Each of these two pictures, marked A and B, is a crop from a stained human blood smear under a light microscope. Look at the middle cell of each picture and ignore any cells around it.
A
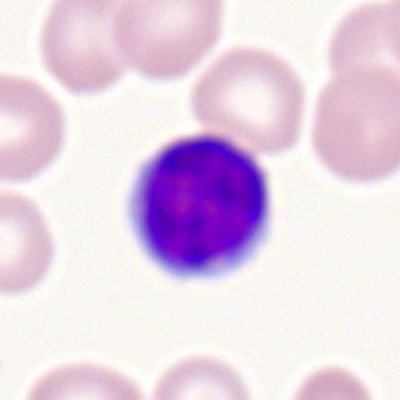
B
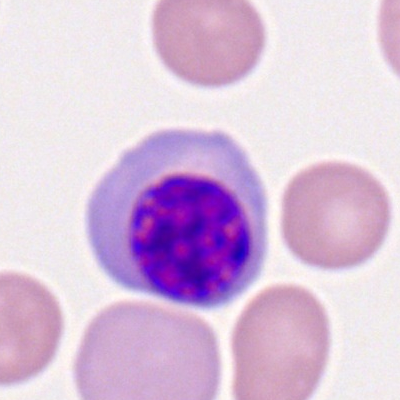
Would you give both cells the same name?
no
